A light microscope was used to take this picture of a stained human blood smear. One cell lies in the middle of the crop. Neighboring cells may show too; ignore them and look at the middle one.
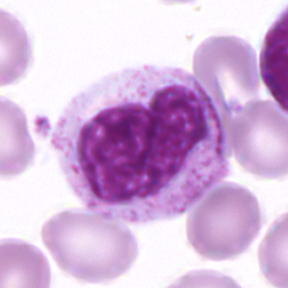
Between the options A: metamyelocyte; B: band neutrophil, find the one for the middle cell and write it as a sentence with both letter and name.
Option B is correct in that the central cell is a band neutrophil.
